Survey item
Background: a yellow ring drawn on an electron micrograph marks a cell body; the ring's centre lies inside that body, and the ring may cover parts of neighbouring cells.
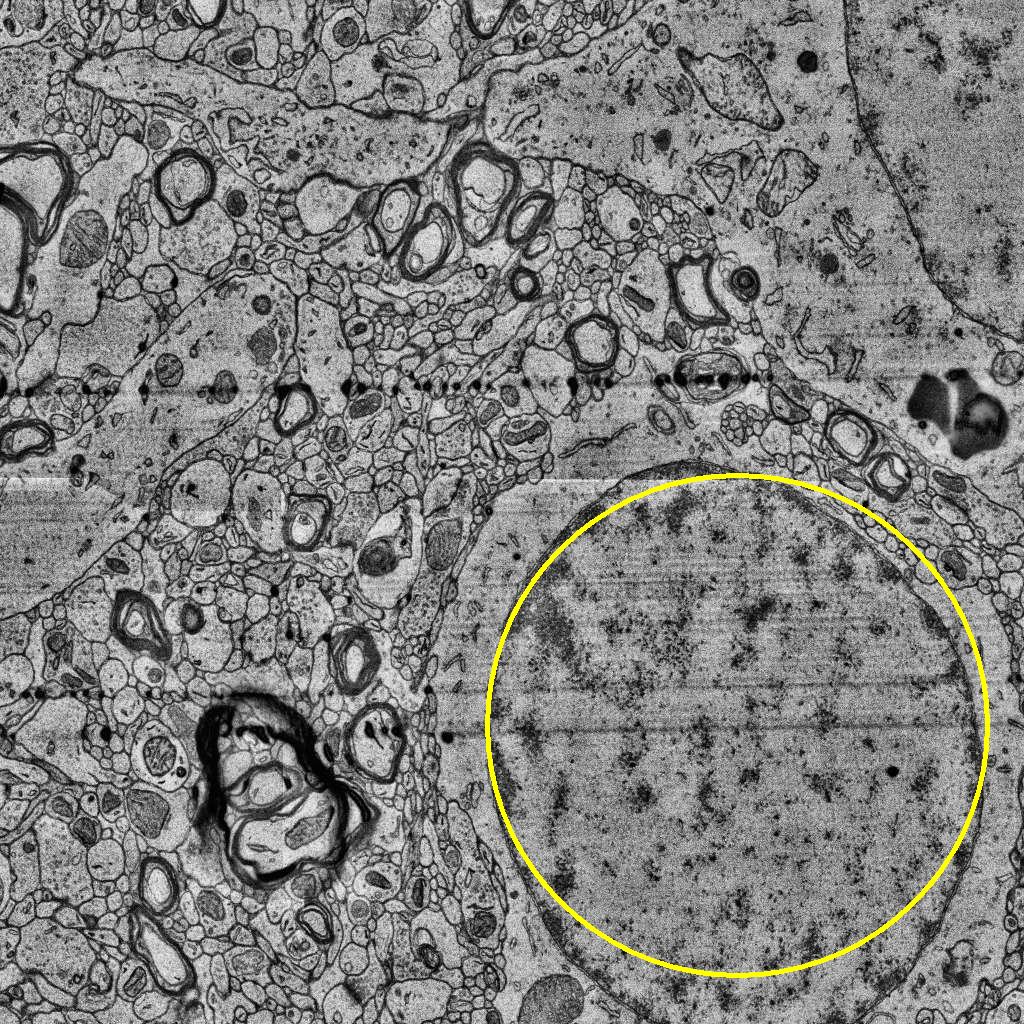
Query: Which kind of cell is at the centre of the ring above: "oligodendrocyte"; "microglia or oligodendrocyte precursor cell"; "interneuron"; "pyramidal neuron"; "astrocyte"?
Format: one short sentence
The cell in the middle of the ring is an astrocyte.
